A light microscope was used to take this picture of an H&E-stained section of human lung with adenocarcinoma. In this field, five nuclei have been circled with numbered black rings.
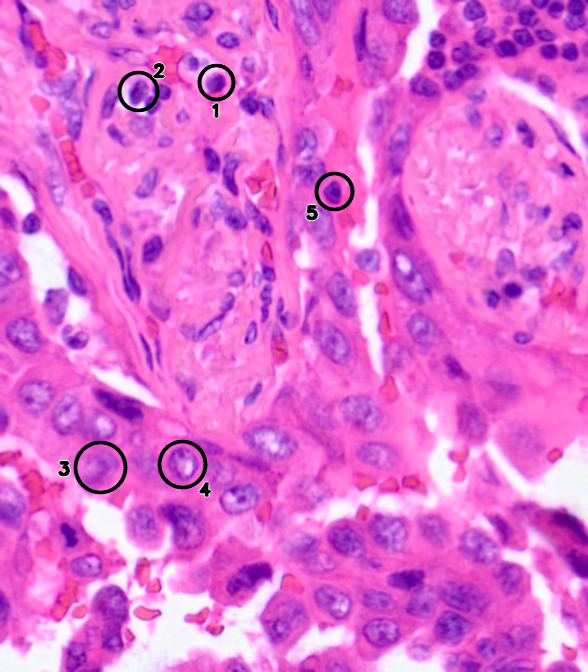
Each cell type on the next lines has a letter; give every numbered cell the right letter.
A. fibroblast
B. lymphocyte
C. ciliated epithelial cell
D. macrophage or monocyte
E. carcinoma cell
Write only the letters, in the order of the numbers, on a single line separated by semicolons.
B; B; E; E; B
